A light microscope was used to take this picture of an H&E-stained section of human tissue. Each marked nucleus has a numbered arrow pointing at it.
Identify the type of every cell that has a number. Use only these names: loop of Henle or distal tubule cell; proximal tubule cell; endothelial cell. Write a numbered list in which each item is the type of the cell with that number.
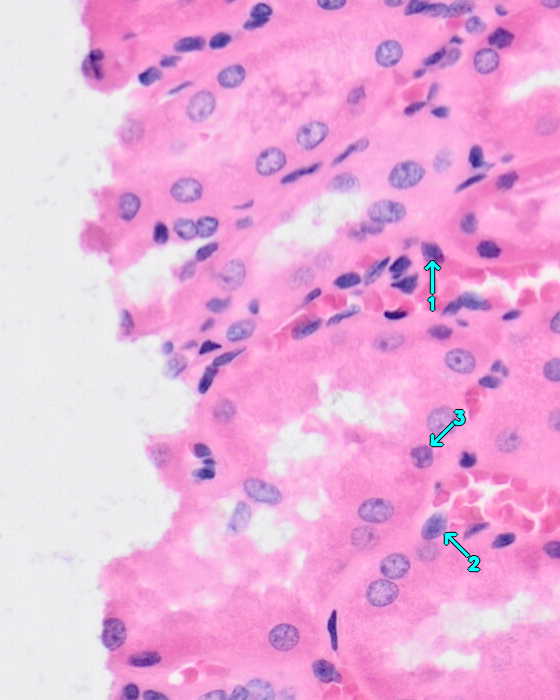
1. endothelial cell
2. endothelial cell
3. proximal tubule cell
